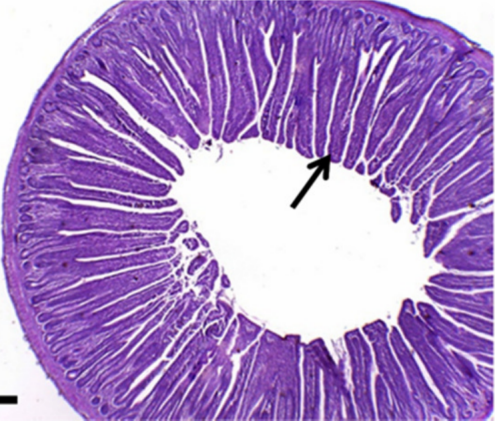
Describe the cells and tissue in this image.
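Cross-section of the intestine showing numerous long, slender intestinal villi stained purple that radiate regularly toward a central, open lumen. The villi are closely packed, separated by narrow clear clefts, and their tips are intact and smoothly outlined. A thin outer wall layer surrounds the mucosa at the periphery.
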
